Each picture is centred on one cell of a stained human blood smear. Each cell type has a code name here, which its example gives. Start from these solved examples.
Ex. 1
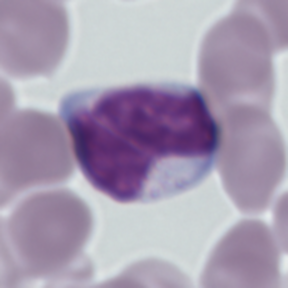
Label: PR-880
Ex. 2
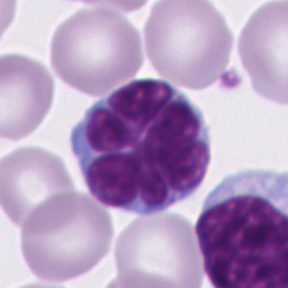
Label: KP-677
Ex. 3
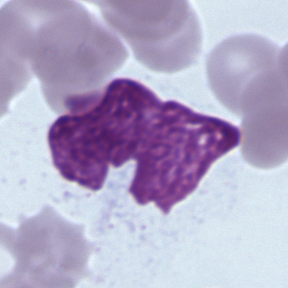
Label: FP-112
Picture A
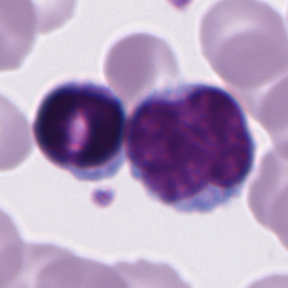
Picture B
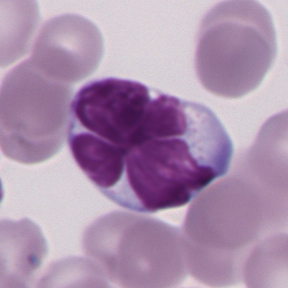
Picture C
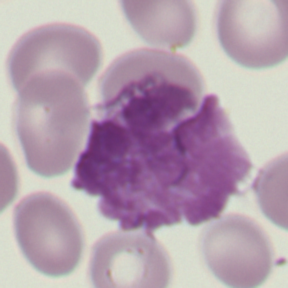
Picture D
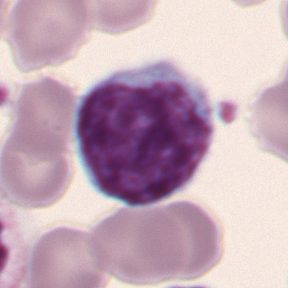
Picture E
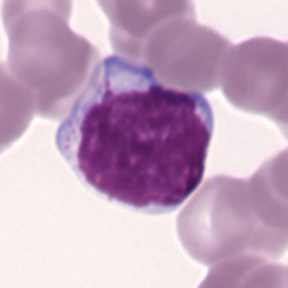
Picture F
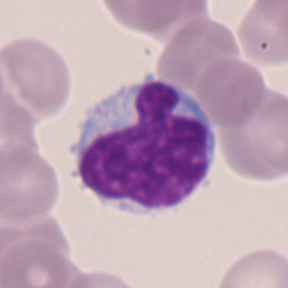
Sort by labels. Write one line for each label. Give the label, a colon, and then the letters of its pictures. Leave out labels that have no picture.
PR-880: B, E, F
KP-677: A, D
FP-112: C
